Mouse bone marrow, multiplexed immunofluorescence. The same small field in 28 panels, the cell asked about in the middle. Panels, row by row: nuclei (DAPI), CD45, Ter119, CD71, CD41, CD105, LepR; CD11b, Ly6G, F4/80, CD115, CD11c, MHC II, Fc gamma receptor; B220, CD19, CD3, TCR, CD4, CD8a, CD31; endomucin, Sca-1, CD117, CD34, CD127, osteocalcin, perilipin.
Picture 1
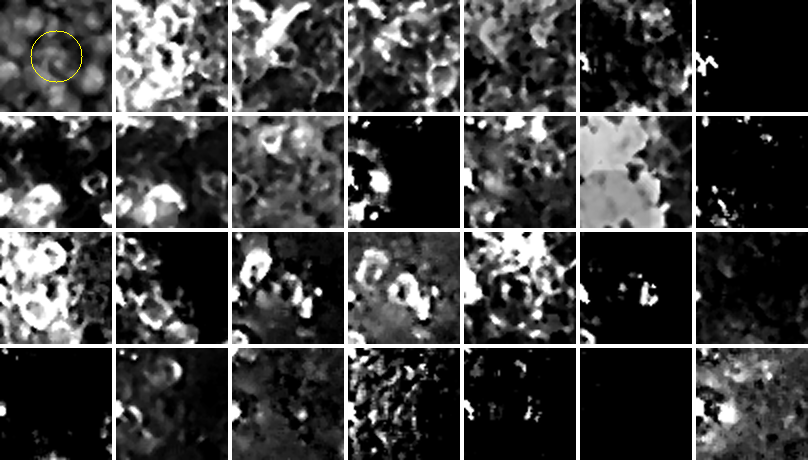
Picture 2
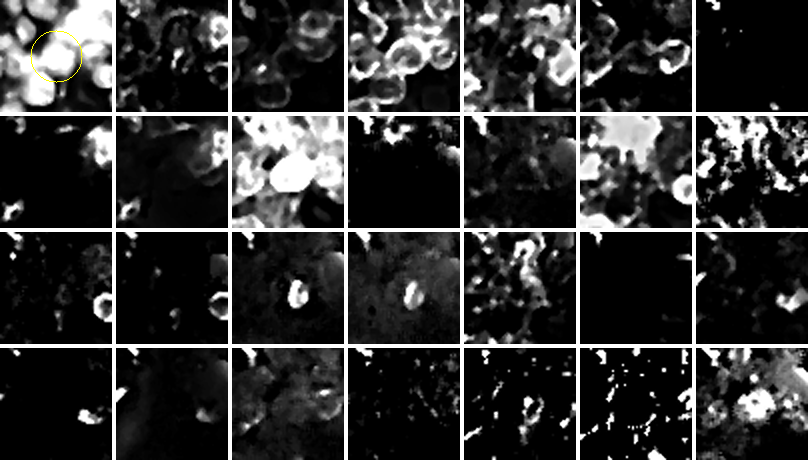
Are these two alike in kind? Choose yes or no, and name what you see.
Yes. CD4 T cells.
